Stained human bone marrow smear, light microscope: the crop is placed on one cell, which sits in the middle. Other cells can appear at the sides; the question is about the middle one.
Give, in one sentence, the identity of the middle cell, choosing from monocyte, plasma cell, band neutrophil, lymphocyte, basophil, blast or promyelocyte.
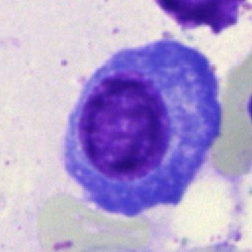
Standing at the centre of this crop is a plasma cell.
